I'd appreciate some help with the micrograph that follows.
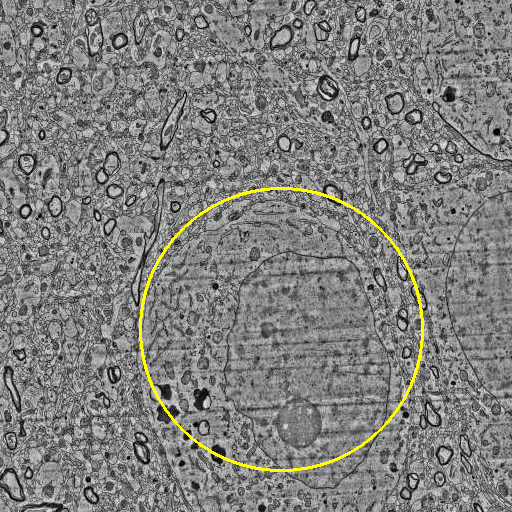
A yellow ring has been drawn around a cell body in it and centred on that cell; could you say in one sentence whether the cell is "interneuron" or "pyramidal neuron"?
It is a pyramidal neuron at the centre of the ring.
